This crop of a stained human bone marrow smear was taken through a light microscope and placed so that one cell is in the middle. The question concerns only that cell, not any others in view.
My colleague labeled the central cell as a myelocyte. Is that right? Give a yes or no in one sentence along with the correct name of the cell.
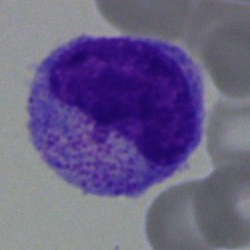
Yes, the middle cell here is a myelocyte.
